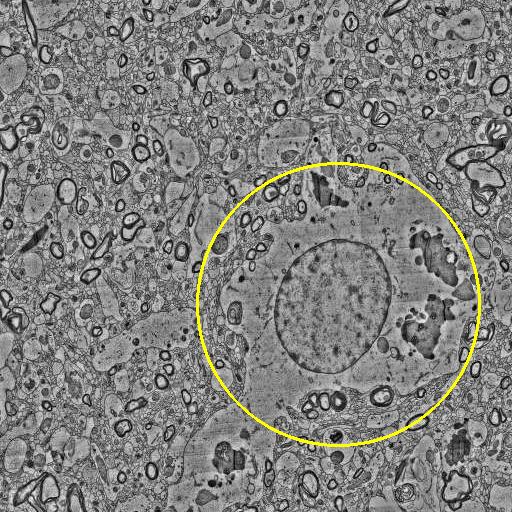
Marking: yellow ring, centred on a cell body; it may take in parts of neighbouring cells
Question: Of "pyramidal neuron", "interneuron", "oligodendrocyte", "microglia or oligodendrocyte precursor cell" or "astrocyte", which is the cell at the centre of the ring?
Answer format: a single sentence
The ring surrounds the body of an astrocyte.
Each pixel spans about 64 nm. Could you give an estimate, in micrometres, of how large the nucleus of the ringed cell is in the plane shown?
In this plane the nucleus measures roughly 9 by 7 micrometers.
